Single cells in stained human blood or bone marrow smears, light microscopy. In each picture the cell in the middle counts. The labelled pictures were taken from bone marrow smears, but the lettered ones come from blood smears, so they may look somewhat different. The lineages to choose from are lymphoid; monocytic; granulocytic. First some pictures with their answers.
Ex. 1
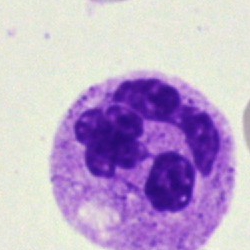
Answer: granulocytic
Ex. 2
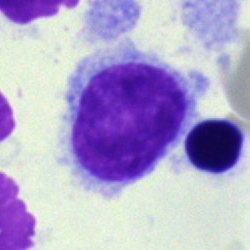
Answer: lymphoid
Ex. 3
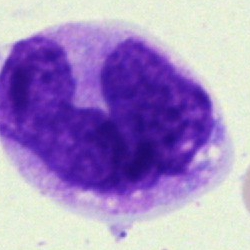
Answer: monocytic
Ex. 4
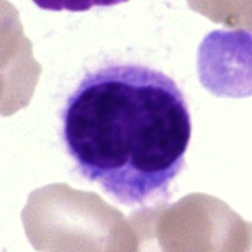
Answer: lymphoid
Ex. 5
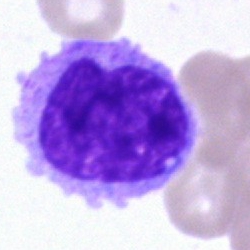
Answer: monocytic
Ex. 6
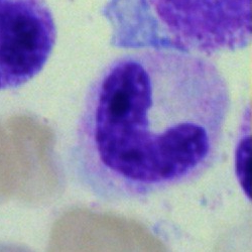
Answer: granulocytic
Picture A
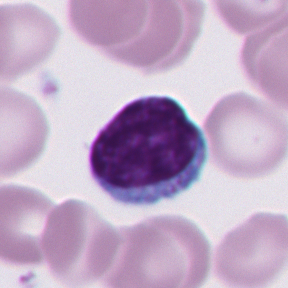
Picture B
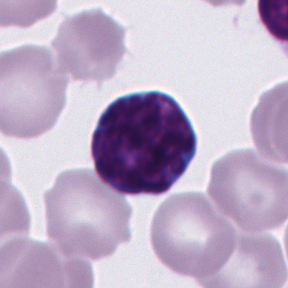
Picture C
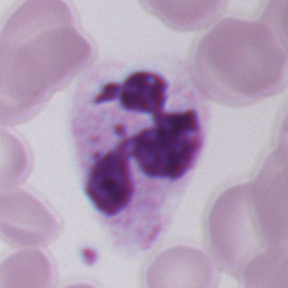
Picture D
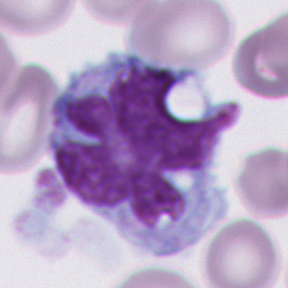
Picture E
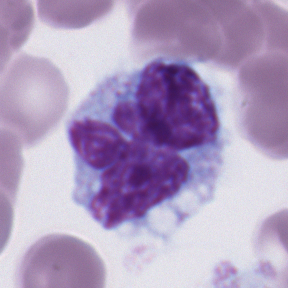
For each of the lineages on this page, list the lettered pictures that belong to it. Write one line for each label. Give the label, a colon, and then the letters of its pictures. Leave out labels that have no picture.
lymphoid: A, B
monocytic: D, E
granulocytic: C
